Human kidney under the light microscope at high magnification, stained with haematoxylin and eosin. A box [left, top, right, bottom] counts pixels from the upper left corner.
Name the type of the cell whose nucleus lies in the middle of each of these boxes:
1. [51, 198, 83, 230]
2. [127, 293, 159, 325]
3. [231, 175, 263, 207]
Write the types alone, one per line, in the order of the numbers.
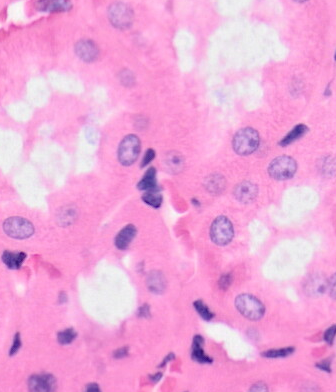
proximal tubule cell
loop of Henle or distal tubule cell
proximal tubule cell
